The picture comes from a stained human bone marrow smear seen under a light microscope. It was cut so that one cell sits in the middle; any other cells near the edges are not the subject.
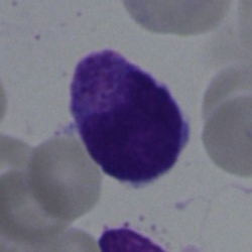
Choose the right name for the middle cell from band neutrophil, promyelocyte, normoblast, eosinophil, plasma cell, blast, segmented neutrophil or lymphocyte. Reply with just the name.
blast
